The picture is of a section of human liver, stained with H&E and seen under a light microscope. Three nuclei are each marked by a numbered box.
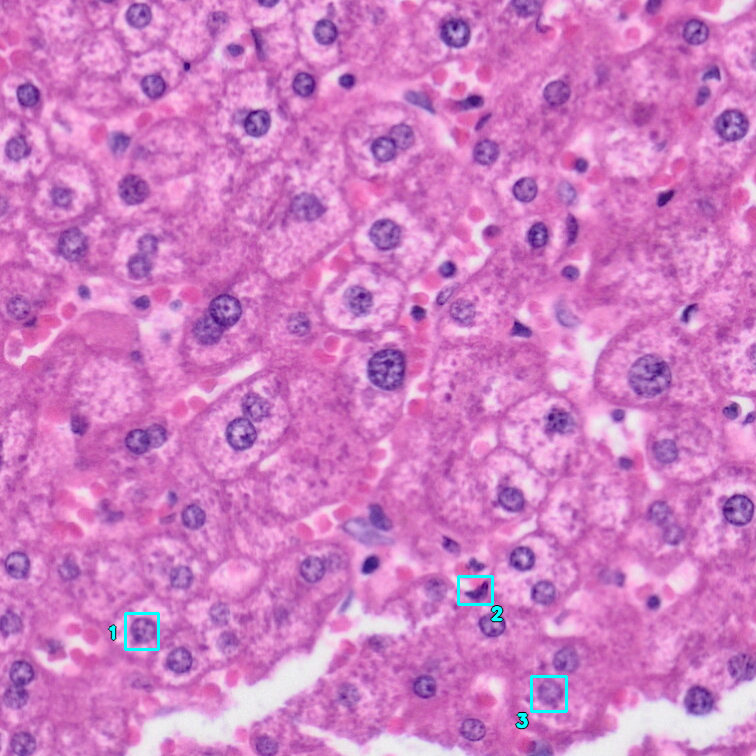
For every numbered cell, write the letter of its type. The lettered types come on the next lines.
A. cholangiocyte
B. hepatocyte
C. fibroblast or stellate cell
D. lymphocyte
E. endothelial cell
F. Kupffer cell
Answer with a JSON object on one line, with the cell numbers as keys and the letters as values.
{"1": "B", "2": "E", "3": "B"}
